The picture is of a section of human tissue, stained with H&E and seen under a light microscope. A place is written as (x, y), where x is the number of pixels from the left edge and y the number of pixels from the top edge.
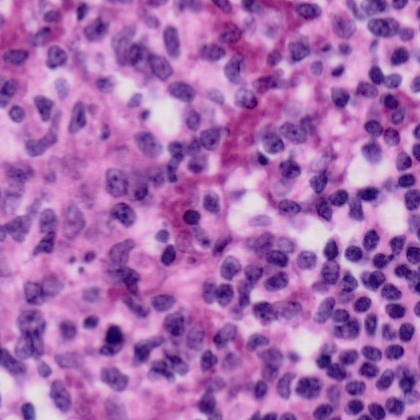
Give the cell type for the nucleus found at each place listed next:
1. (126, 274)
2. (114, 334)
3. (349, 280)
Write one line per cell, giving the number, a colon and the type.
1: proliferating B cell
2: proliferating B cell
3: small lymphocyte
